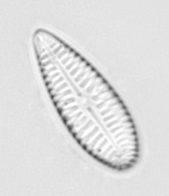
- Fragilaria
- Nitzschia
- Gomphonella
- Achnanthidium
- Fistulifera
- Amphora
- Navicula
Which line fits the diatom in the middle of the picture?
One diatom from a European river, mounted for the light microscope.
Gomphonella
